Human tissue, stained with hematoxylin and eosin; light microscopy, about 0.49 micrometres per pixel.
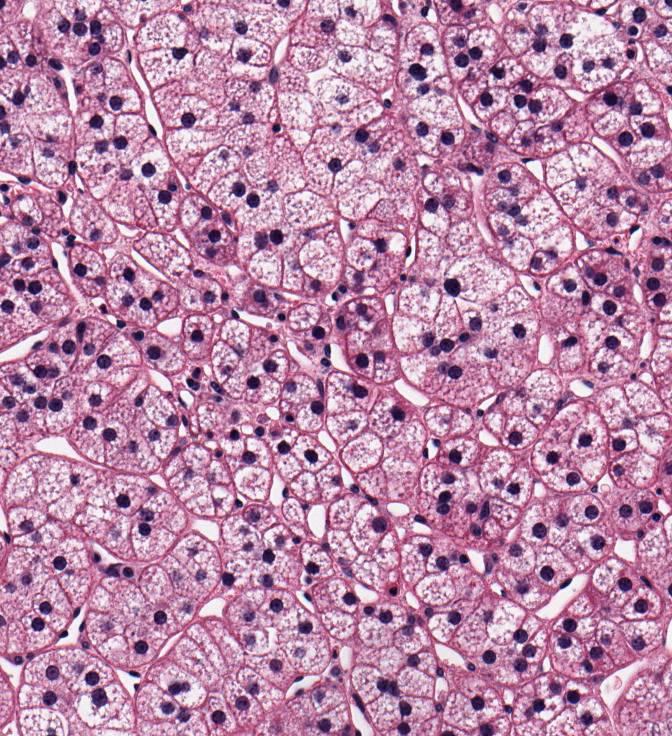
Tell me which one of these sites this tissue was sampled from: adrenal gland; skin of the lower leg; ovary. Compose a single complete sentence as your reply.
Tissue for this slide was taken from the adrenal gland.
